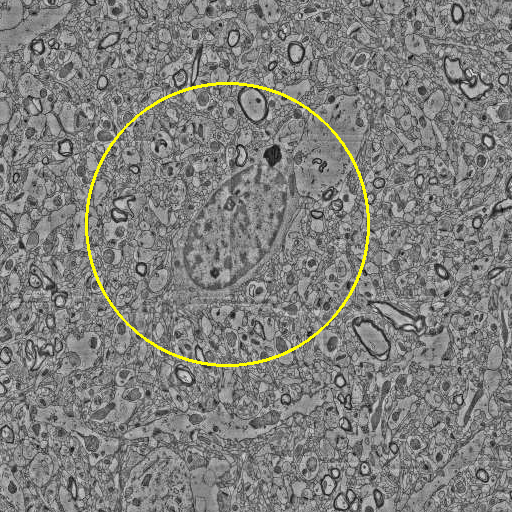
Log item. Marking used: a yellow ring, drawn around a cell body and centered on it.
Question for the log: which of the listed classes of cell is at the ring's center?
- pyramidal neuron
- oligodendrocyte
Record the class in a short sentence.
At the center of the ring lies an oligodendrocyte.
